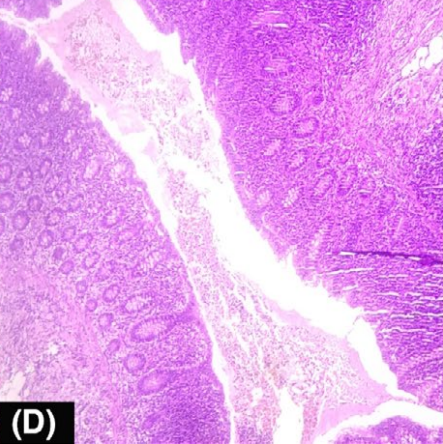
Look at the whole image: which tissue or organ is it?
Appendix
